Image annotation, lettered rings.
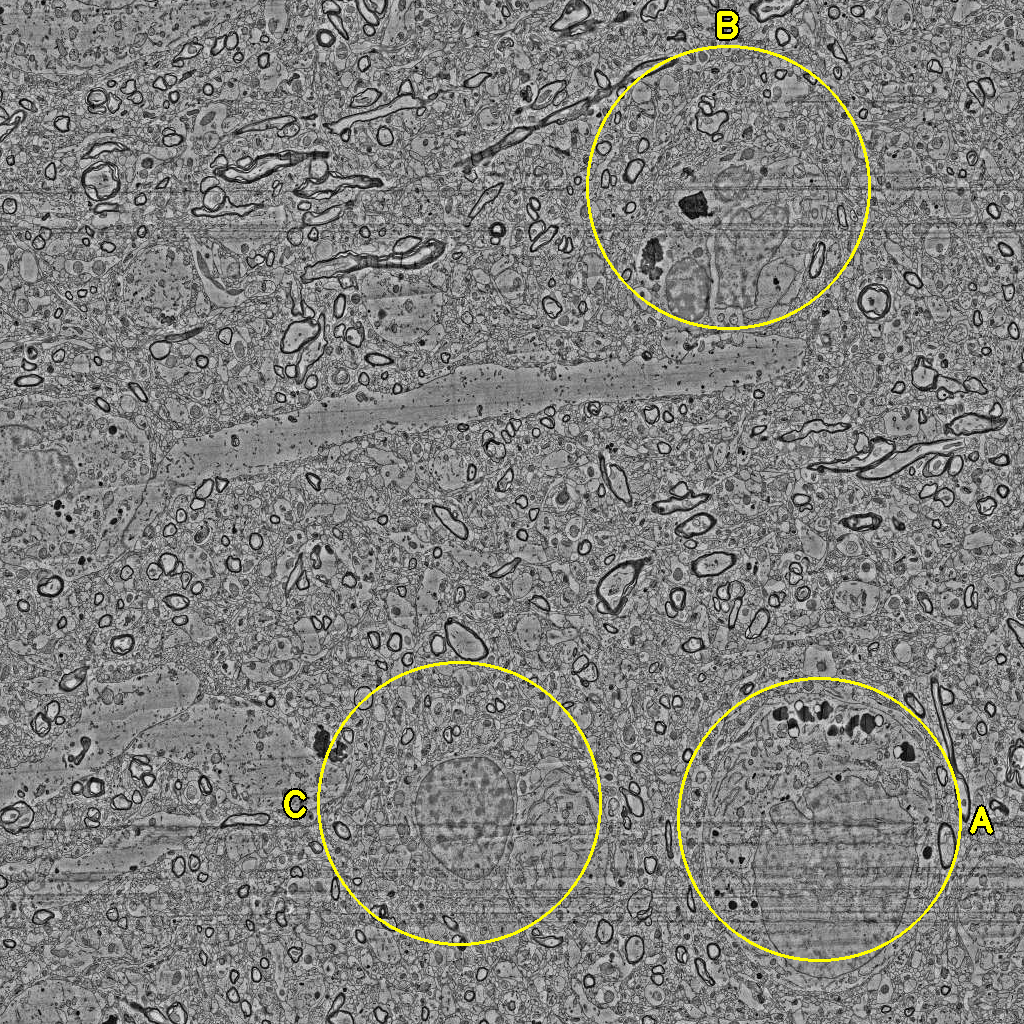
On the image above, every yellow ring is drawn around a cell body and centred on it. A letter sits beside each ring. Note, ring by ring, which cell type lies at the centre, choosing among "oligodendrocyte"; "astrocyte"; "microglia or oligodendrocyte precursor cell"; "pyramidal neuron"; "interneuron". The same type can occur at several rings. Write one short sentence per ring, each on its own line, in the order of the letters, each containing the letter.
Ring A has a pyramidal neuron at its centre.
Ring B has an oligodendrocyte at its centre.
Ring C has an oligodendrocyte at its centre.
